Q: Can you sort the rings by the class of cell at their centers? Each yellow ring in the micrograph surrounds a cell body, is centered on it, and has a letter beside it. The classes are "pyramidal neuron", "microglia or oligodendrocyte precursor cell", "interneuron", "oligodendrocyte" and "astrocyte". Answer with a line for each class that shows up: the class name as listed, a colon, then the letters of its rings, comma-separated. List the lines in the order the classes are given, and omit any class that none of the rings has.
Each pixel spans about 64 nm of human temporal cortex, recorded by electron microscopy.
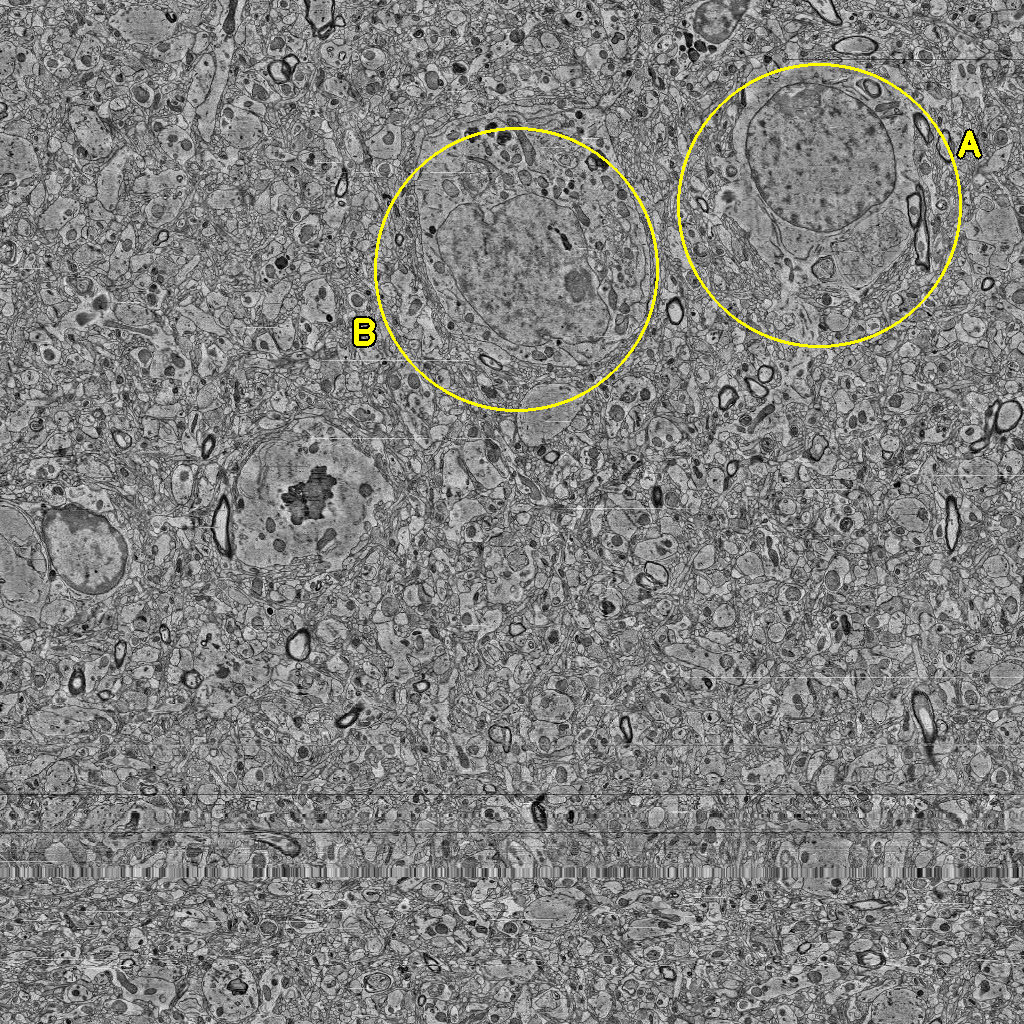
interneuron: B
astrocyte: A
